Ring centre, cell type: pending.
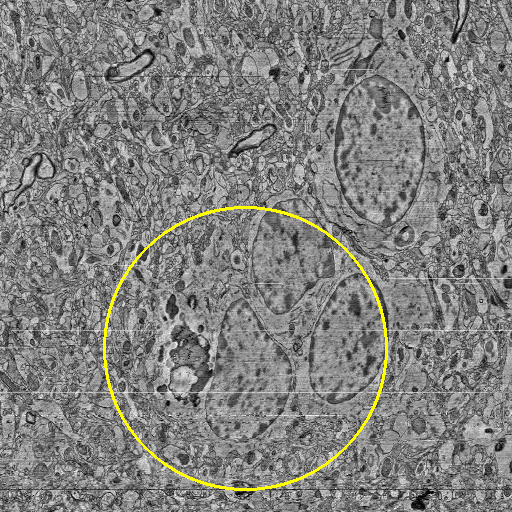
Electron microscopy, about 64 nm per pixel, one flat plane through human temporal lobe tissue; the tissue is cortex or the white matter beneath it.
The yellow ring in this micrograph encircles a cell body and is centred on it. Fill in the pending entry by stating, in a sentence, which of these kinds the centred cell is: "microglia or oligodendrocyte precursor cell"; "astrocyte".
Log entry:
The centred cell is recorded as an astrocyte.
